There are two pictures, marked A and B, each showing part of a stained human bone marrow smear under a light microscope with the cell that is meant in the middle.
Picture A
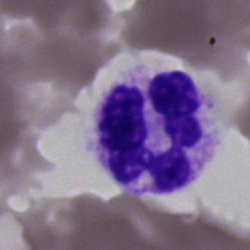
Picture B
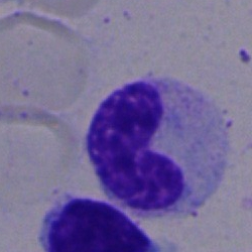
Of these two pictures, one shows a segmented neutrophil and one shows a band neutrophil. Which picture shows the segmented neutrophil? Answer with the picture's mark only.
A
